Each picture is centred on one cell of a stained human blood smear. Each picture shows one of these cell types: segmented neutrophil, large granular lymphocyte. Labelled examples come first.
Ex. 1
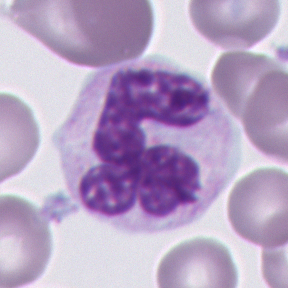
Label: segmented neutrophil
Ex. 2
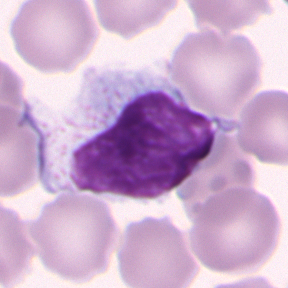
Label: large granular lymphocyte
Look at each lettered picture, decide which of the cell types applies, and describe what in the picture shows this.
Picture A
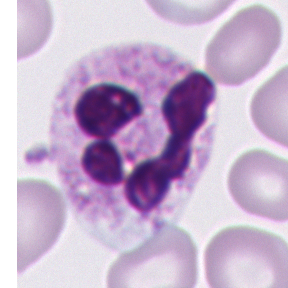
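segmented neutrophil: The cytoplasm is abundant and pale pinkish-lilac.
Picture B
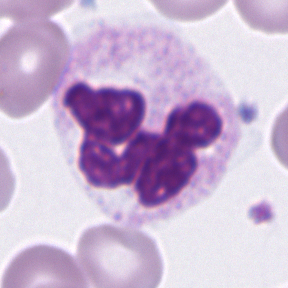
segmented neutrophil: The cytoplasm is plentiful and pale pinkish-lilac.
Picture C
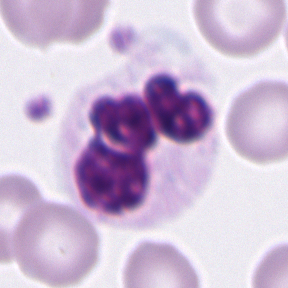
segmented neutrophil: The cytoplasm is plentiful and very pale lilac-pink.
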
